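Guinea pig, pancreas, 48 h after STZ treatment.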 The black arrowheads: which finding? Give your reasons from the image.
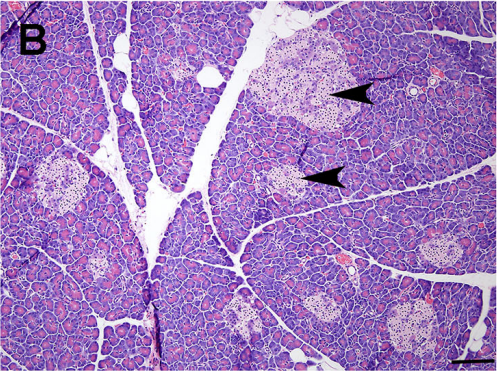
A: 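The marked round clusters are pale and washed out. Many small dark dots are scattered through the pale clusters. The answer: Cell death.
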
